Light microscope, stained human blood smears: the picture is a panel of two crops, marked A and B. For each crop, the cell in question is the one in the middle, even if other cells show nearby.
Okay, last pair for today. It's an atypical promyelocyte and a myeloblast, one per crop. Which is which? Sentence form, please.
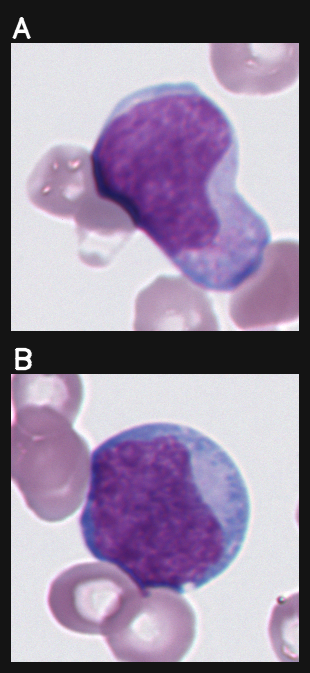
For crop A the cell is an atypical promyelocyte, and for crop B it is a myeloblast.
